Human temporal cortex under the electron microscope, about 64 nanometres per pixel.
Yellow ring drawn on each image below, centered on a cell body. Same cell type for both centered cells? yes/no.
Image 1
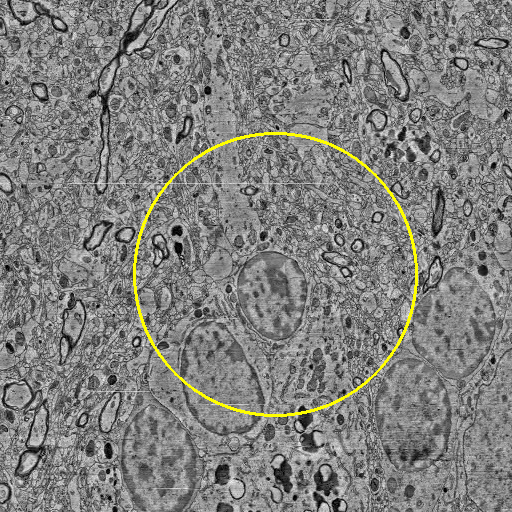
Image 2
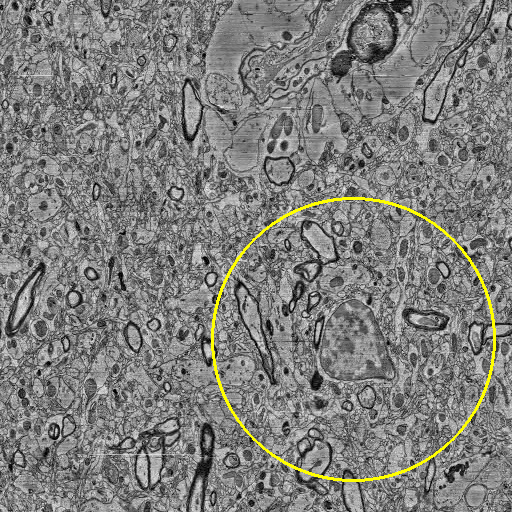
yes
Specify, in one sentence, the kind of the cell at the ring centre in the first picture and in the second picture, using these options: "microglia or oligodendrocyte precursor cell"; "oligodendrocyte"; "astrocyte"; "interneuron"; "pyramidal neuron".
The cell in the first picture is a microglial cell or oligodendrocyte precursor cell, and so is the one in the second.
